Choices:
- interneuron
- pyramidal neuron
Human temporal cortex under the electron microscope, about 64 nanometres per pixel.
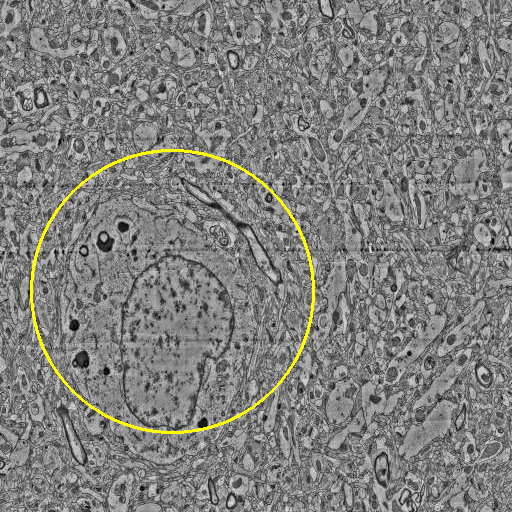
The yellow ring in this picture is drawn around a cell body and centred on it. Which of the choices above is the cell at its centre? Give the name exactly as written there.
pyramidal neuron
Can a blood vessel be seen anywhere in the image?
No.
